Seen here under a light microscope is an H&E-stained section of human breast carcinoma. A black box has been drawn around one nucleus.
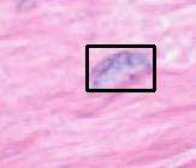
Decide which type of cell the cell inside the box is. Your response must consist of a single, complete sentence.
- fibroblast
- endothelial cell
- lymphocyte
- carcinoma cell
Recorded by type, the cell inside the box is a fibroblast.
